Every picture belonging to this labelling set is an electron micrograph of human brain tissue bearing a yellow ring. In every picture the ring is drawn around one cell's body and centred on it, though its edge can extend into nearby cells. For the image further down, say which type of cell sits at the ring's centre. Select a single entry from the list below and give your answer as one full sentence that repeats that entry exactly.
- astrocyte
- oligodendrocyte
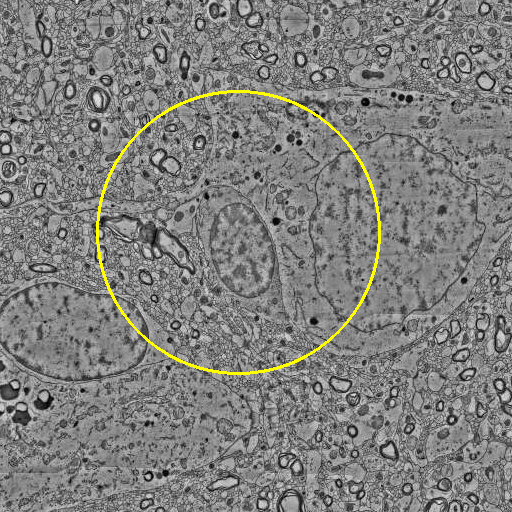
In the picture, an oligodendrocyte is the cell at the centre of the yellow ring.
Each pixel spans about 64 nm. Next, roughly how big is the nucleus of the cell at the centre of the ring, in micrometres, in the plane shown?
About 6 by 4 micrometres in this plane; clearly longer than it is wide.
